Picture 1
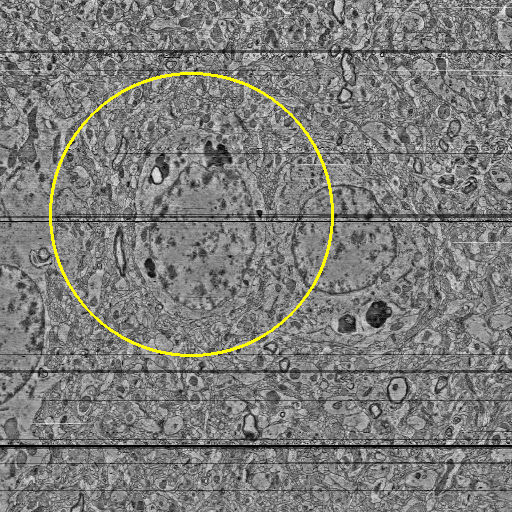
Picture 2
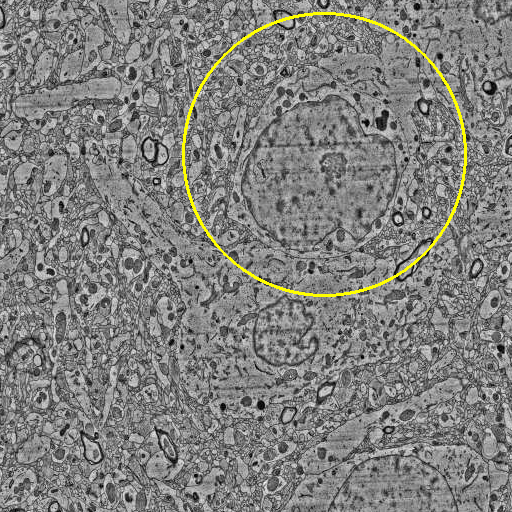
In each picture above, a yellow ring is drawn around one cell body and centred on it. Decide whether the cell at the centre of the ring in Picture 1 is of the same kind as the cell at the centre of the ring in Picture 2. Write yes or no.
yes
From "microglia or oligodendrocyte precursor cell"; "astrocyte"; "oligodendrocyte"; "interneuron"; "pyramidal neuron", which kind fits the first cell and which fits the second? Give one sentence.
Both cells are the same kind, each one being an interneuron.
